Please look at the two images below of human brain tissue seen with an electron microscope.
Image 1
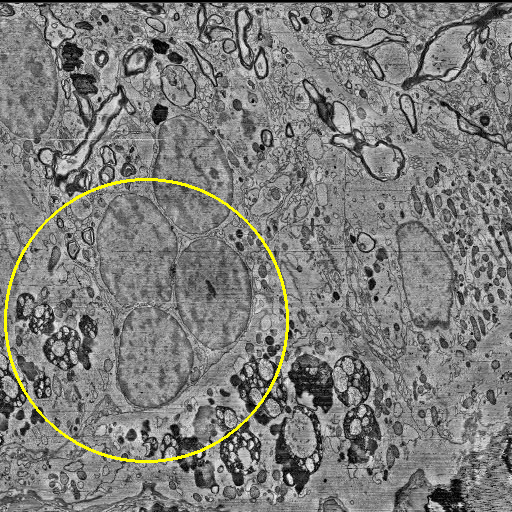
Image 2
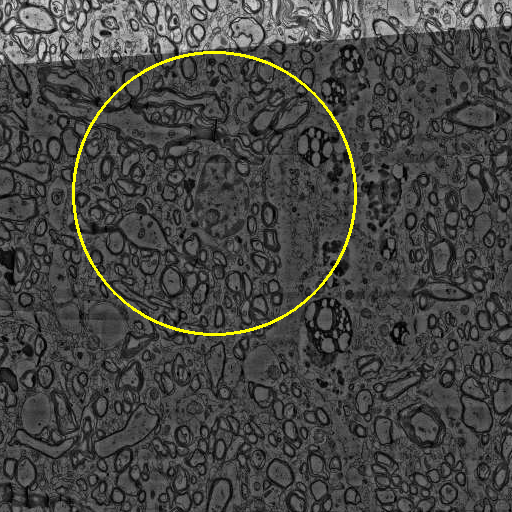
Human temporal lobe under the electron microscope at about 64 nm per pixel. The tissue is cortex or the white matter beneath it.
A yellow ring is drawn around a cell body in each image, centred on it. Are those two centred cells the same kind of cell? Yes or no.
no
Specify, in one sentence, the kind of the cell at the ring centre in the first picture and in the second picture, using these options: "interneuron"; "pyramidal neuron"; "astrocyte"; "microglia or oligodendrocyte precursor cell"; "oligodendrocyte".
So the first is an oligodendrocyte, the second a microglial cell or oligodendrocyte precursor cell.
